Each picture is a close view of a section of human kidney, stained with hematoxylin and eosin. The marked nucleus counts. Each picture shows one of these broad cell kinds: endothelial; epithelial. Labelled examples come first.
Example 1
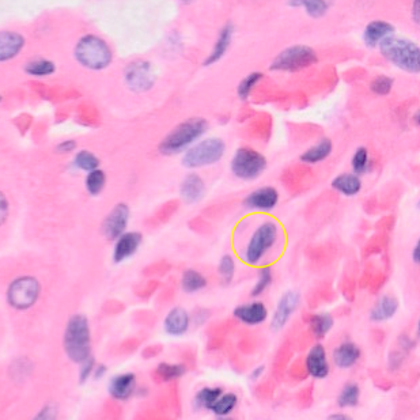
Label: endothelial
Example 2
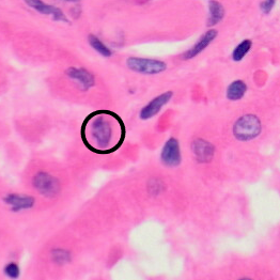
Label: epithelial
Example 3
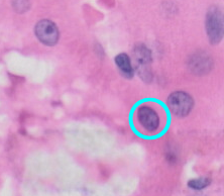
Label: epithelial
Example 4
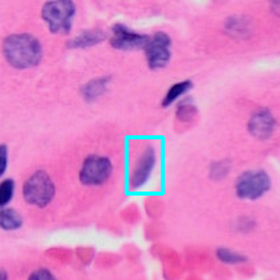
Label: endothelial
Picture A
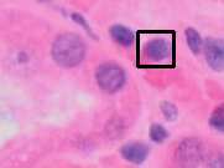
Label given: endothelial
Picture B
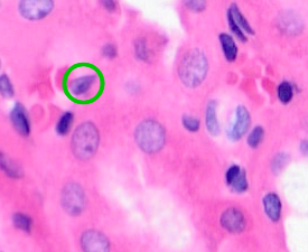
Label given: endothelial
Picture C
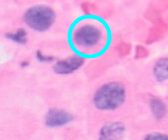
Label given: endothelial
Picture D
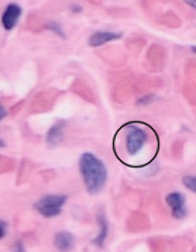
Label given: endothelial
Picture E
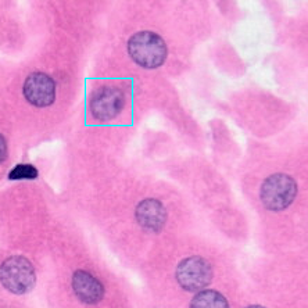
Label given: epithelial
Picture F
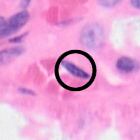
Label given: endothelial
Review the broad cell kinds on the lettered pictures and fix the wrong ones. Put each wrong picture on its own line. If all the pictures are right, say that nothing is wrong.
All labels are correct.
